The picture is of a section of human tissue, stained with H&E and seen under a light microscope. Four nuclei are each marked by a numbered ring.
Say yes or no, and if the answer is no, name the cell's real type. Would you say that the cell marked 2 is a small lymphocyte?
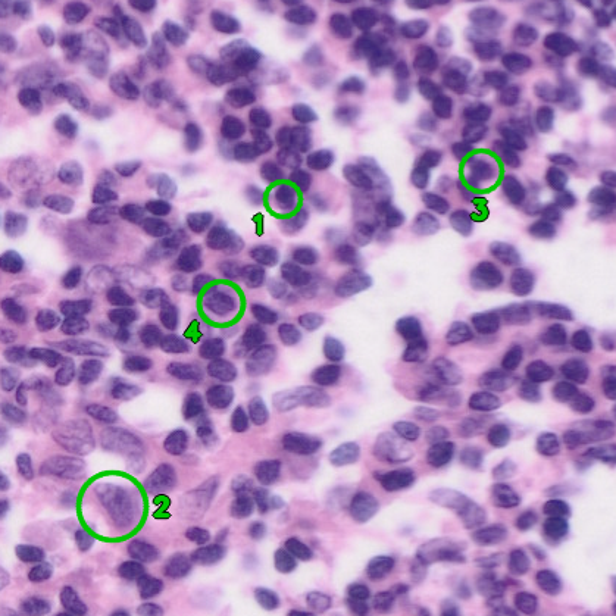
No, it is an endothelial cell.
